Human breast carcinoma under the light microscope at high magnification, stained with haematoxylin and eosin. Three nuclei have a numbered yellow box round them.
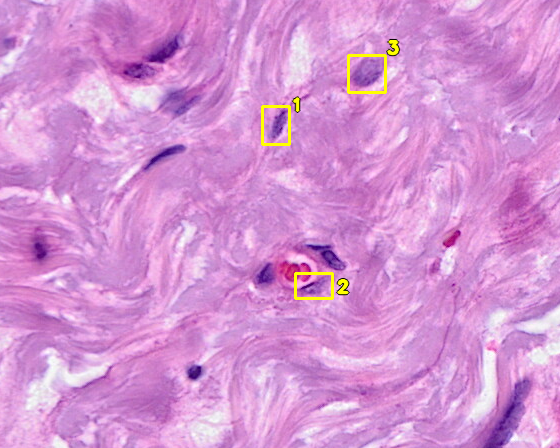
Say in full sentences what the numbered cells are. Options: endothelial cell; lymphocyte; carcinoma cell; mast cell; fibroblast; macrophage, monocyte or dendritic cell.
Cells 1 and 3 are fibroblasts. Cell 2 is an endothelial cell.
